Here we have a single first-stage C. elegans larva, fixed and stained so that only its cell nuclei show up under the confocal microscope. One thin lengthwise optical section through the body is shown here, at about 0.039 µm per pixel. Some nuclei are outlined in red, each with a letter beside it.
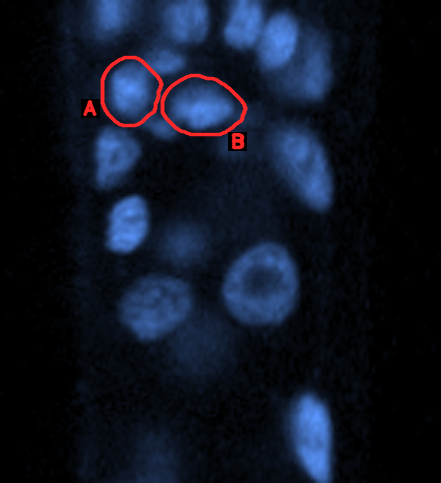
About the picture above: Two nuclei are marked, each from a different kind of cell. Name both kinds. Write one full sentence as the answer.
One is from a cell of the excretory system, namely A, and the other, B, is from a valve cell of the gut.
